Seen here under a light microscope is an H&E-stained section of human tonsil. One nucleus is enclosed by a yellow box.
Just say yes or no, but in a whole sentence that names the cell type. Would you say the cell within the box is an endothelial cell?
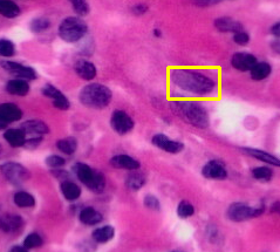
Yes, the cell within the box is recognized as an endothelial cell in this section.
